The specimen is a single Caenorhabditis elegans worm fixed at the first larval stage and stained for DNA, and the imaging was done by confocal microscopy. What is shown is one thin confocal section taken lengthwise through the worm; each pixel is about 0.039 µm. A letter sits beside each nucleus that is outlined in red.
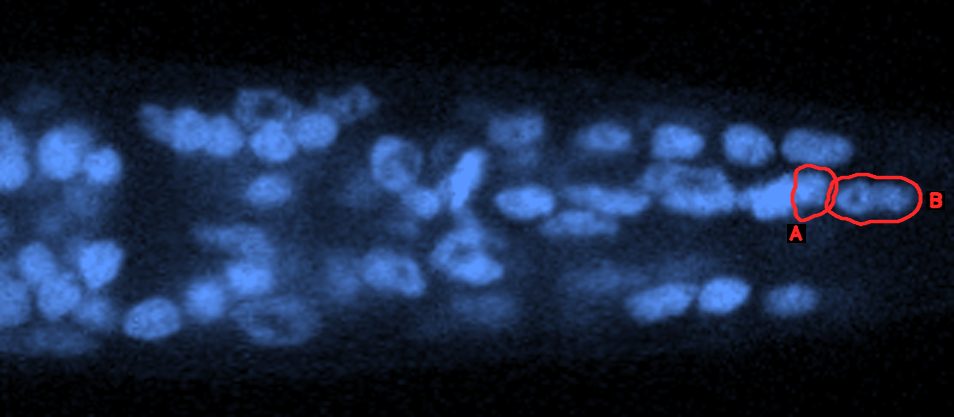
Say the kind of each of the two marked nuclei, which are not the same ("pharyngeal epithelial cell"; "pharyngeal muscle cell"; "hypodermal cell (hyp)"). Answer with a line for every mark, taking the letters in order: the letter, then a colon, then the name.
A: pharyngeal muscle cell
B: pharyngeal epithelial cell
